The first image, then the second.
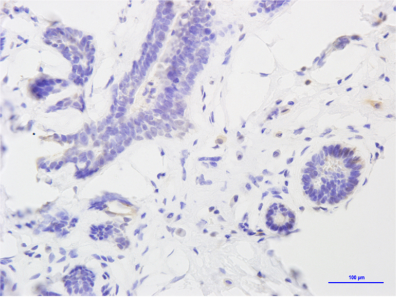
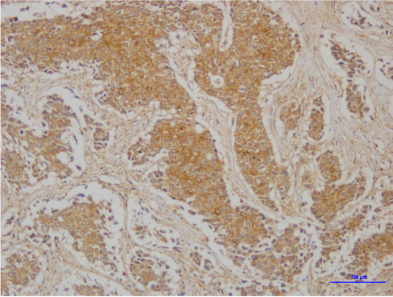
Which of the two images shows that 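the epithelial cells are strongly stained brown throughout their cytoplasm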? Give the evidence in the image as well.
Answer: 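The second image. Second image: the cell nests are diffusely brown, masking much of the blue counterstain. First image: the epithelium and stroma are almost entirely blue, with only faint scattered brown.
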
